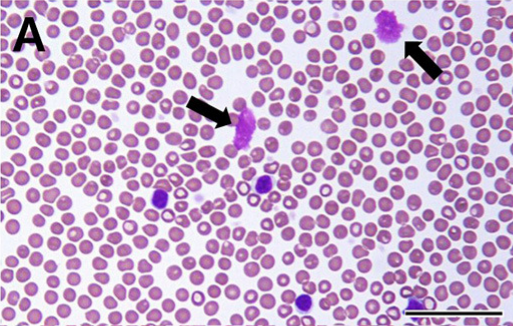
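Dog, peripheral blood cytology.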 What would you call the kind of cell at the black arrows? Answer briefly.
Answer: Smudge cells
